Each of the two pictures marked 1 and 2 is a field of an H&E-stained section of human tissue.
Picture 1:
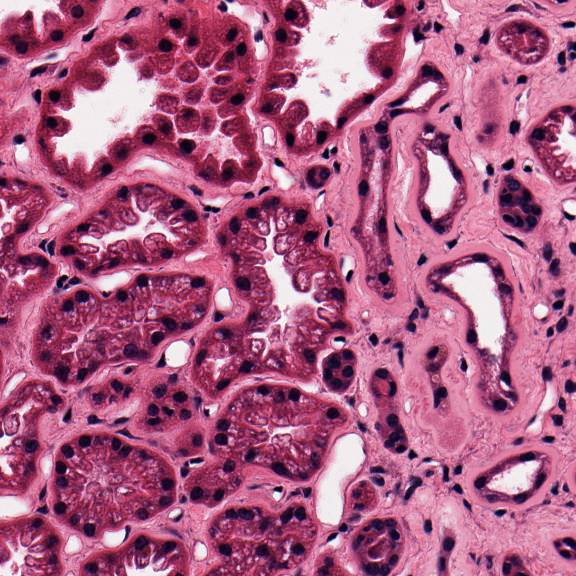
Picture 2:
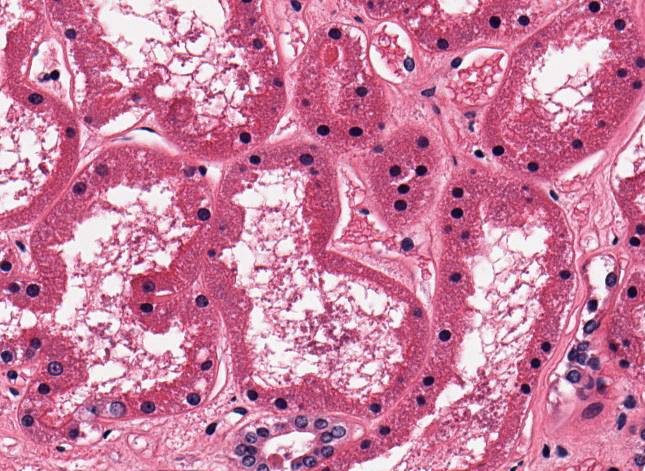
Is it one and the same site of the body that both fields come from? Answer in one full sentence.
Yes, they come from the same site of the body: both come from the renal cortex.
